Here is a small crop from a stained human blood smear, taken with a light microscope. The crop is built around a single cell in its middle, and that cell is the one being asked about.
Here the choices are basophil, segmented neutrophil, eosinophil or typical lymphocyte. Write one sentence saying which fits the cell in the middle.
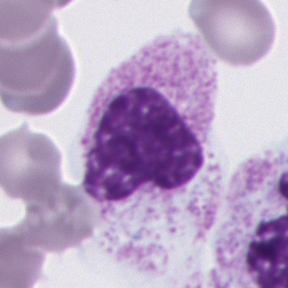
The cell featured at the centre of this crop is a segmented neutrophil.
